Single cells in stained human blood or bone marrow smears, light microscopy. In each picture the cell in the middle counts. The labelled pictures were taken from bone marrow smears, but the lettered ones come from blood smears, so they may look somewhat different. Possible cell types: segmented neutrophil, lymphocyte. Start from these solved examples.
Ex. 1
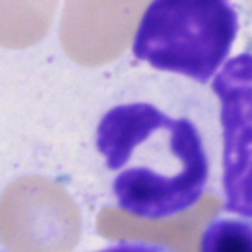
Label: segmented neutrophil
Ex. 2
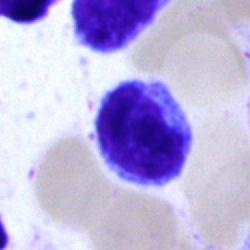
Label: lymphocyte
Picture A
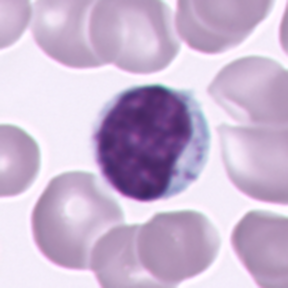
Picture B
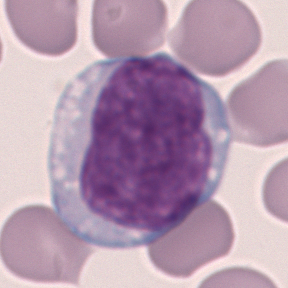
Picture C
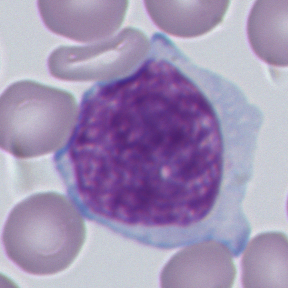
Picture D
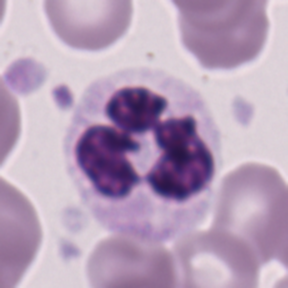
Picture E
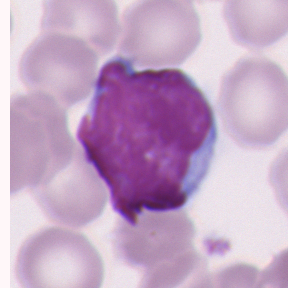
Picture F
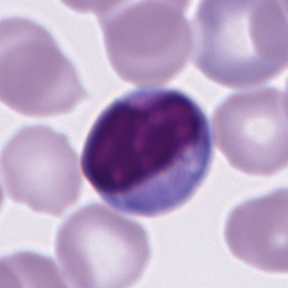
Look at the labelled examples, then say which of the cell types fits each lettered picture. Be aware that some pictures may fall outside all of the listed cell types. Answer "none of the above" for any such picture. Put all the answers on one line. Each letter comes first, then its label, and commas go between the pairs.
A lymphocyte, B none of the above, C none of the above, D segmented neutrophil, E lymphocyte, F lymphocyte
